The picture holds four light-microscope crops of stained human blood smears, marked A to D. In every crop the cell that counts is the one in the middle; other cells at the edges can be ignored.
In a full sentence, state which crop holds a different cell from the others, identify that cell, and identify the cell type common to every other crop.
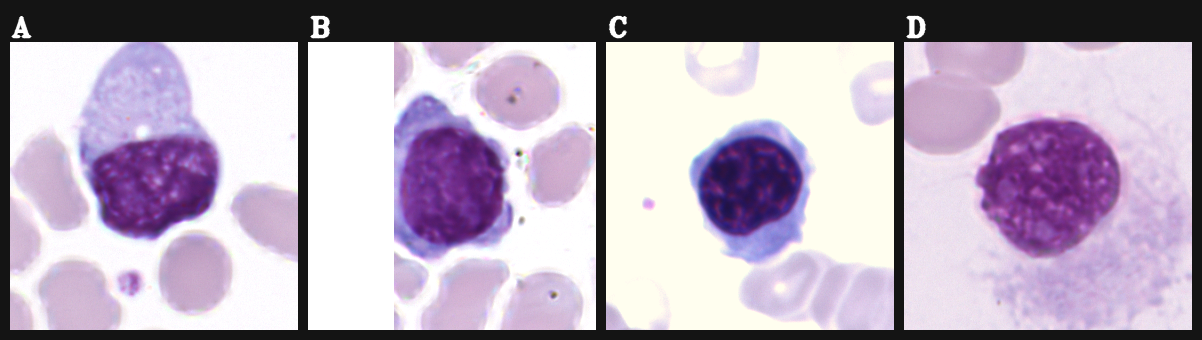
Only in crop C is there a normoblast; all other crops show plasma cells.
